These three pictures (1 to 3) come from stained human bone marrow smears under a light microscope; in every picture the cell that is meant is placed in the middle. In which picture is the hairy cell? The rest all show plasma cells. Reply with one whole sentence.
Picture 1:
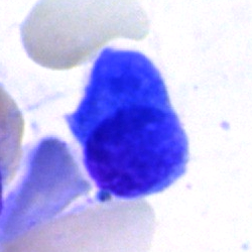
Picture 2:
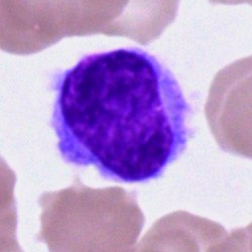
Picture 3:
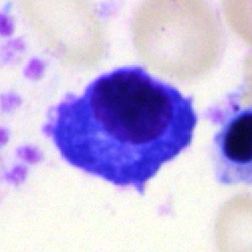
It is picture 2 that shows the hairy cell.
